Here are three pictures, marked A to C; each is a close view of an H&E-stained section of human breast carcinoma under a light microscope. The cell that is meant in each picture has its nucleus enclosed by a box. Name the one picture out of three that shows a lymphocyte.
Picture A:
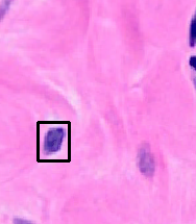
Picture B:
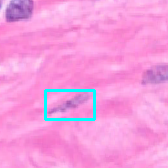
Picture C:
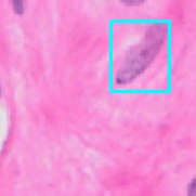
A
